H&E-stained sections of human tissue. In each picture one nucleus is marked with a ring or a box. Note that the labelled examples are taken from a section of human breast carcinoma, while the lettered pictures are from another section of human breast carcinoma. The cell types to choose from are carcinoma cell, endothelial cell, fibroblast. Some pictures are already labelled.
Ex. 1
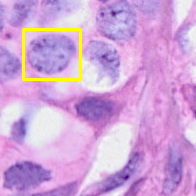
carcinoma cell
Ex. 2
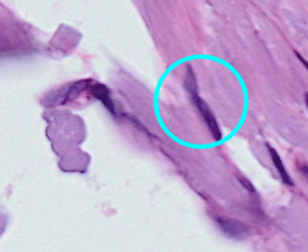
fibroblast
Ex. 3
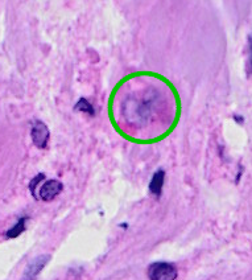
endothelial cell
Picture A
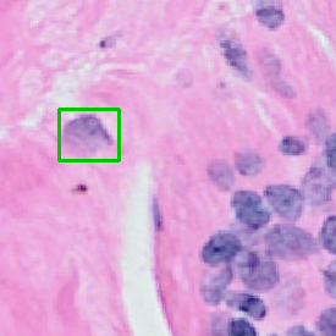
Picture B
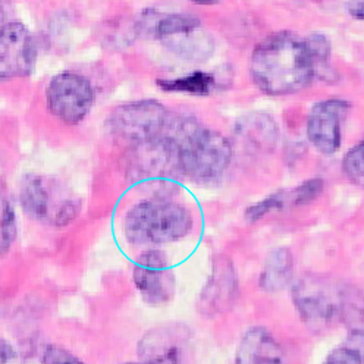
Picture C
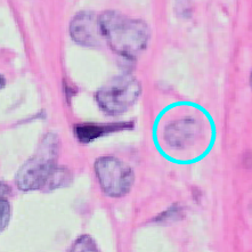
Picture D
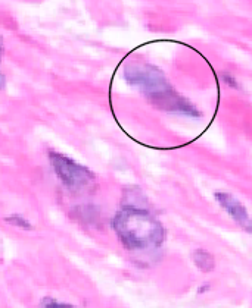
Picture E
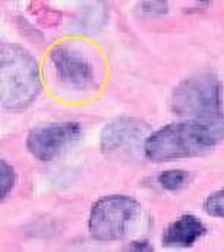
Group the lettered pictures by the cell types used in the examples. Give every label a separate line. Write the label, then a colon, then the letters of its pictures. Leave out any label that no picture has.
carcinoma cell: B, C
endothelial cell: E
fibroblast: A, D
